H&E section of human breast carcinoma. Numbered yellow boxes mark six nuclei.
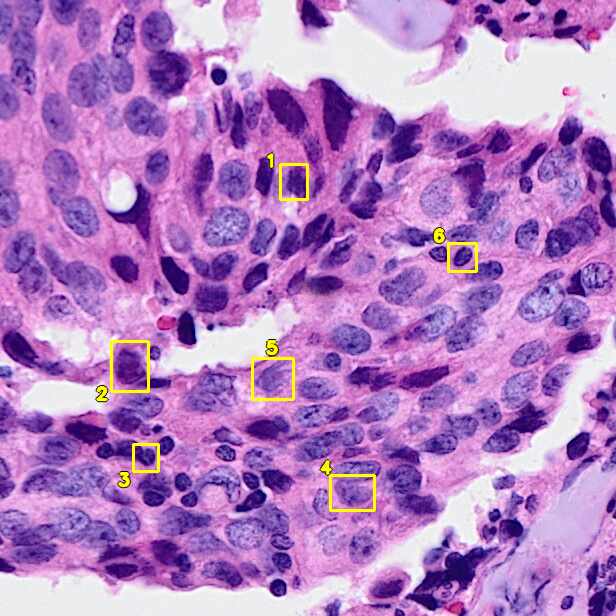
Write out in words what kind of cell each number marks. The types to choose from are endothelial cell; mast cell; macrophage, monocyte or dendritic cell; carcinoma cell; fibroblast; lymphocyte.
Cell 1 is a carcinoma cell, cell 2 is a carcinoma cell, cell 3 is a lymphocyte, cell 4 is a carcinoma cell, cell 5 is a carcinoma cell and cell 6 is a lymphocyte.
